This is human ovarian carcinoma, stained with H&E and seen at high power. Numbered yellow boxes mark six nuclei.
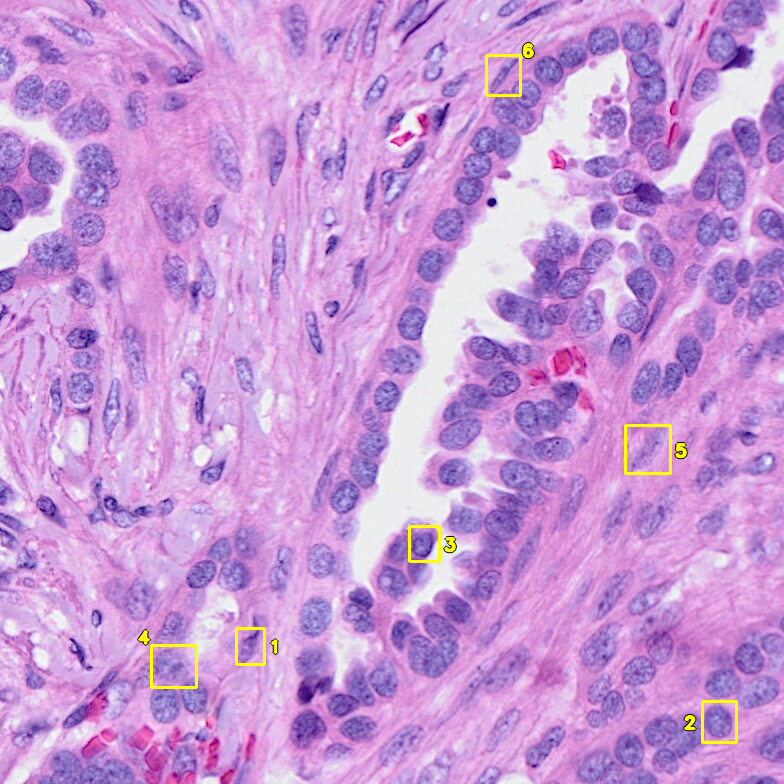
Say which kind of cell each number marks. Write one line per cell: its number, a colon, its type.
1: fibroblast
2: carcinoma cell
3: carcinoma cell
4: carcinoma cell
5: fibroblast
6: fibroblast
